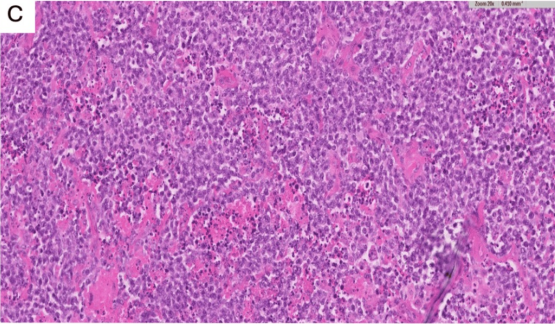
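This is a tumor made of solid sheets of closely packed cells with round, dark purple nuclei and little cytoplasm. The cells lie side by side without forming glands or follicles. Scattered among them are pale pink, washed-out zones where the cells have died, and many small, dense, dark fragments lie between the intact cells.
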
